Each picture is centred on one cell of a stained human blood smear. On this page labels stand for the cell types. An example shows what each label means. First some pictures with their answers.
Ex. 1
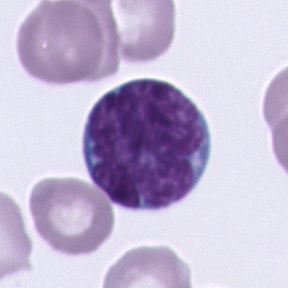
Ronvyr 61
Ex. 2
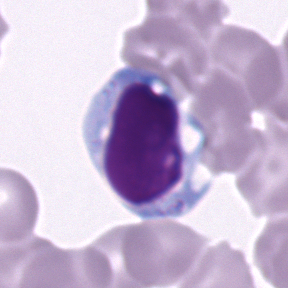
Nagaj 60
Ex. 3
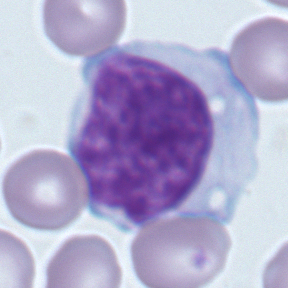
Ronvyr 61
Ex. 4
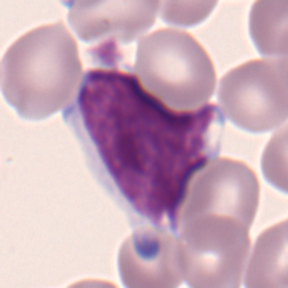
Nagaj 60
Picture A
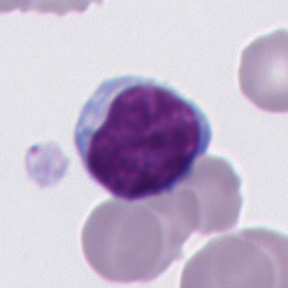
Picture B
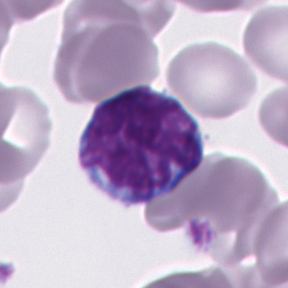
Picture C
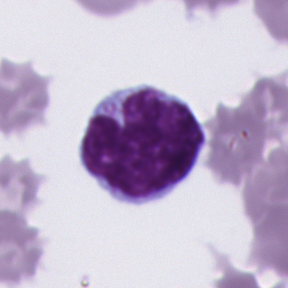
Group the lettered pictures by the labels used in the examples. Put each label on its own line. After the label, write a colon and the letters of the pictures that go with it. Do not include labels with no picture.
Nagaj 60: A, B, C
